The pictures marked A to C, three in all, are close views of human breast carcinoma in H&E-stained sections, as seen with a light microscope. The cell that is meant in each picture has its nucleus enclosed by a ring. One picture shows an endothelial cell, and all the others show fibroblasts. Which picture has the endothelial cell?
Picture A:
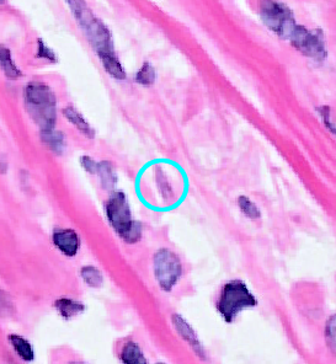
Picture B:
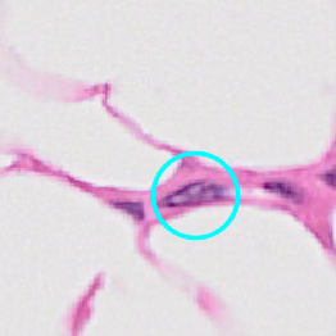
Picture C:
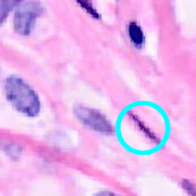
B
